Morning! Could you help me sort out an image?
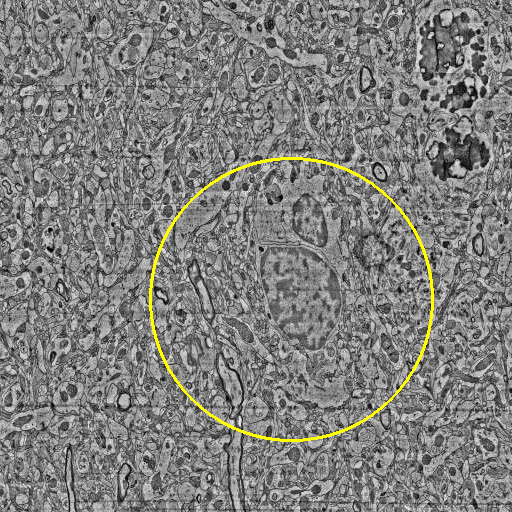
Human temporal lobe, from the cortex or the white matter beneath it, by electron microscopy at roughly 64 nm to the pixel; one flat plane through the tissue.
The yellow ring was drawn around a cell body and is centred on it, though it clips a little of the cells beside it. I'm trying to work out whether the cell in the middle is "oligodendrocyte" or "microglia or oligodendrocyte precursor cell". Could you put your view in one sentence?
The ringed cell body is that of a microglial cell or oligodendrocyte precursor cell.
